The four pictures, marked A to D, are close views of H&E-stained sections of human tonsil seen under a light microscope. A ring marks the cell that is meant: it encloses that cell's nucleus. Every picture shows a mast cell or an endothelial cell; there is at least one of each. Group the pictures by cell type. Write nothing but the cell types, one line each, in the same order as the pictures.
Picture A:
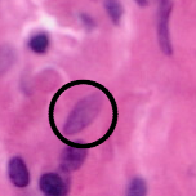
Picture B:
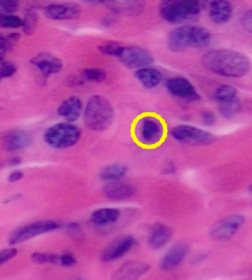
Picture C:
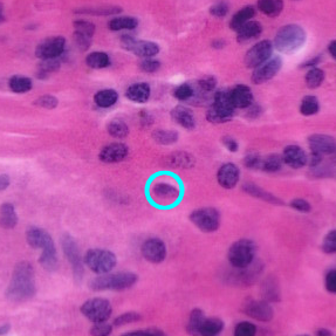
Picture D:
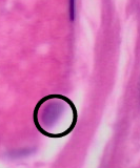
endothelial cell
mast cell
mast cell
endothelial cell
